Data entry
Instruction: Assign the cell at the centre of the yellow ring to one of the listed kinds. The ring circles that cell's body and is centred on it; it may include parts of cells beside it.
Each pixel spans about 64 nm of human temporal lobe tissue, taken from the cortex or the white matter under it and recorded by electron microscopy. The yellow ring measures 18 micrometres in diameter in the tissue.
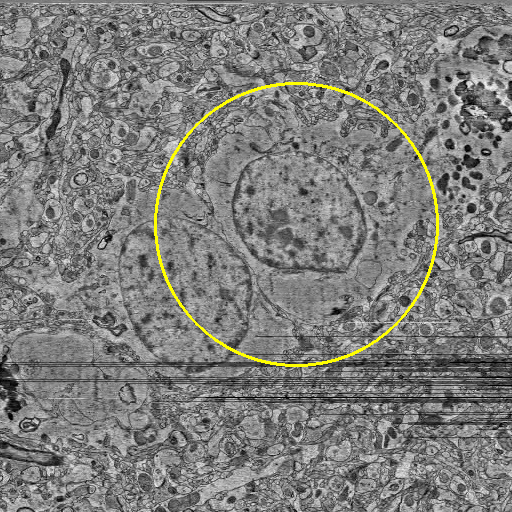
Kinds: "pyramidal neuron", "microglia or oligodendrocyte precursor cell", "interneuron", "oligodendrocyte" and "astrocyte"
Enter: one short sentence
The centre of the ring falls on an astrocyte.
